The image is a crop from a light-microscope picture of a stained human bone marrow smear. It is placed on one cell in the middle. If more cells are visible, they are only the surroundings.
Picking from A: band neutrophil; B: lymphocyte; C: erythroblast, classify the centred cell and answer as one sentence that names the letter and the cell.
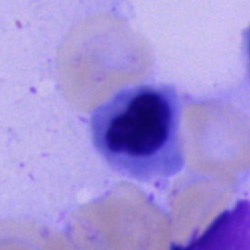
The cell centered in the crop is an erythroblast, making option C the correct pick.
